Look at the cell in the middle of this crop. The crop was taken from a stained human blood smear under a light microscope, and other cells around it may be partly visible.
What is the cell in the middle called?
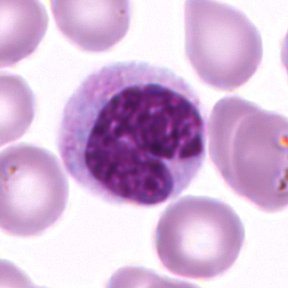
band neutrophil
